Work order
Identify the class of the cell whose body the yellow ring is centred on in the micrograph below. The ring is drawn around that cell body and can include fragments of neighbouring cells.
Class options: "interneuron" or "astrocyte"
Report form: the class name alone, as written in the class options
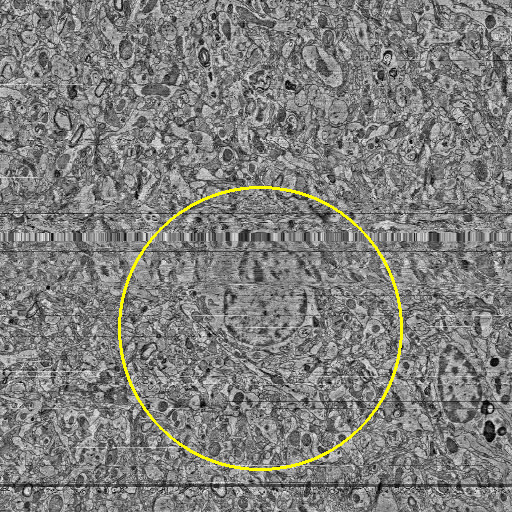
astrocyte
